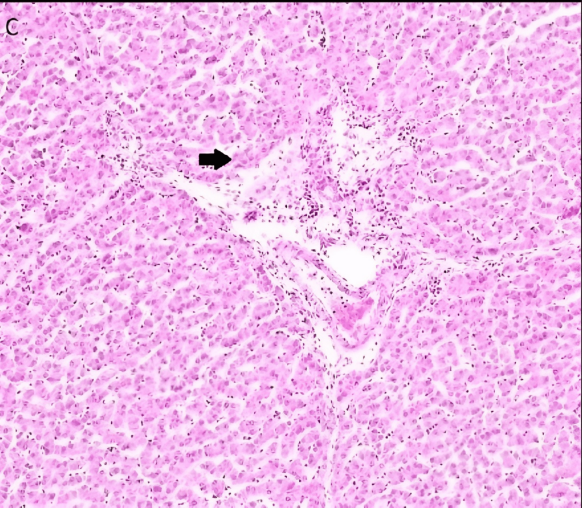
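This liver section shows a portal area crowded with inflammatory cells. The inflammatory cells are small and round with dark purple nuclei, clustered in the pale connective tissue around a vessel. Around them lie larger hepatocytes with pink cytoplasm and round nuclei, arranged in cords. Next to the cluster, a pale, loosely stained region shows early degeneration of hepatocytes.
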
